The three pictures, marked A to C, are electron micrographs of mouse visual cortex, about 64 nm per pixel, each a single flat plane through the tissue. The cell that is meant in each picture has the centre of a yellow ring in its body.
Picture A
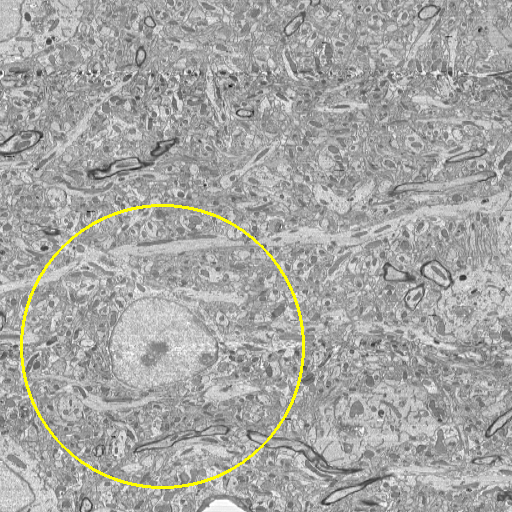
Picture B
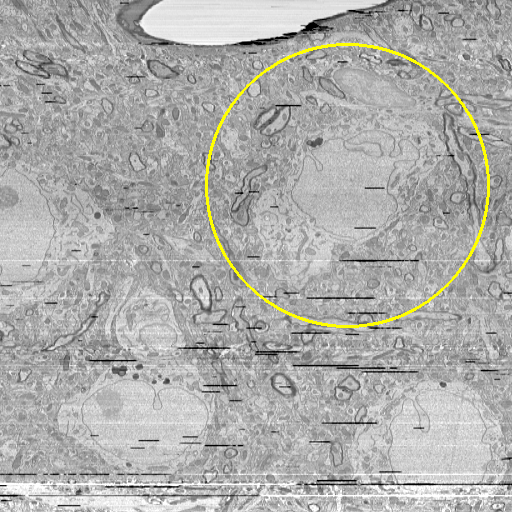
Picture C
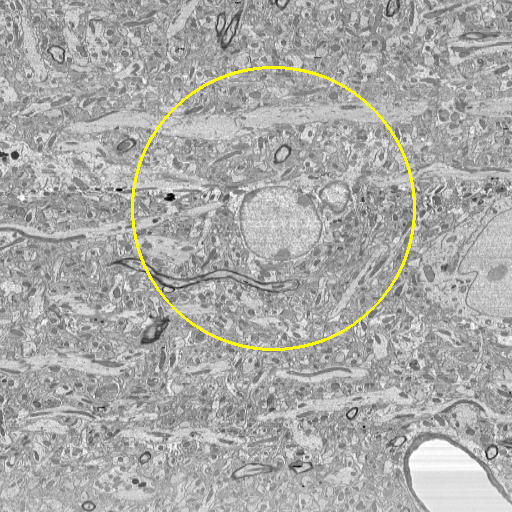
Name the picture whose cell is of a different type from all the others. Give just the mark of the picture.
B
